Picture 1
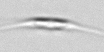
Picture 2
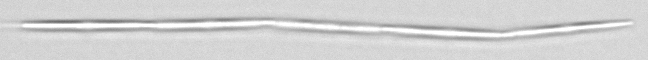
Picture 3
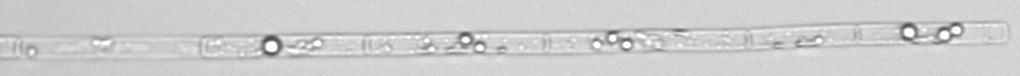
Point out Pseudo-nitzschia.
That is picture 2.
